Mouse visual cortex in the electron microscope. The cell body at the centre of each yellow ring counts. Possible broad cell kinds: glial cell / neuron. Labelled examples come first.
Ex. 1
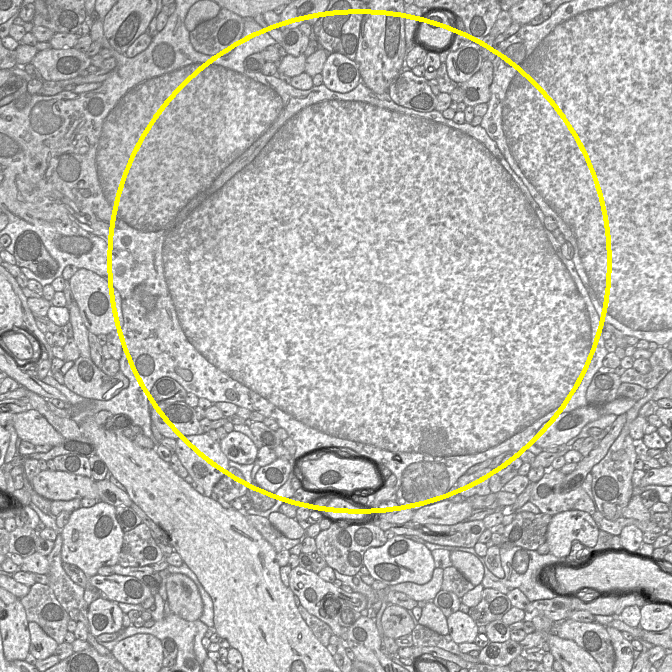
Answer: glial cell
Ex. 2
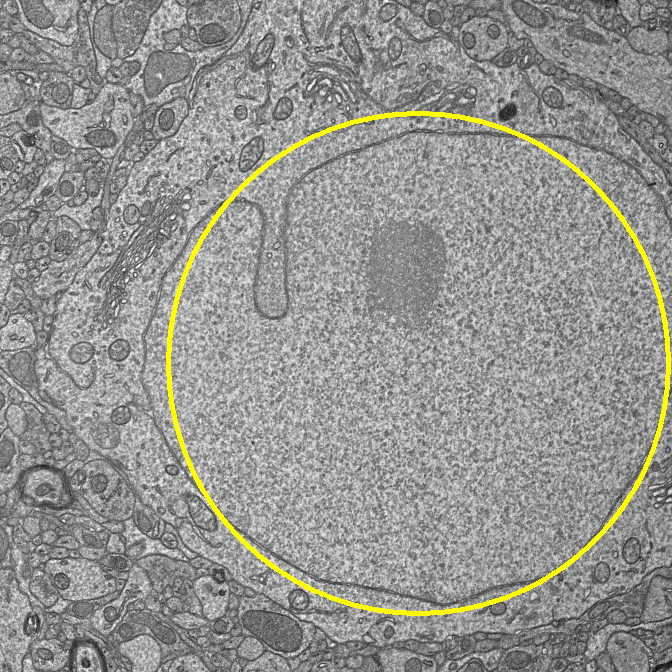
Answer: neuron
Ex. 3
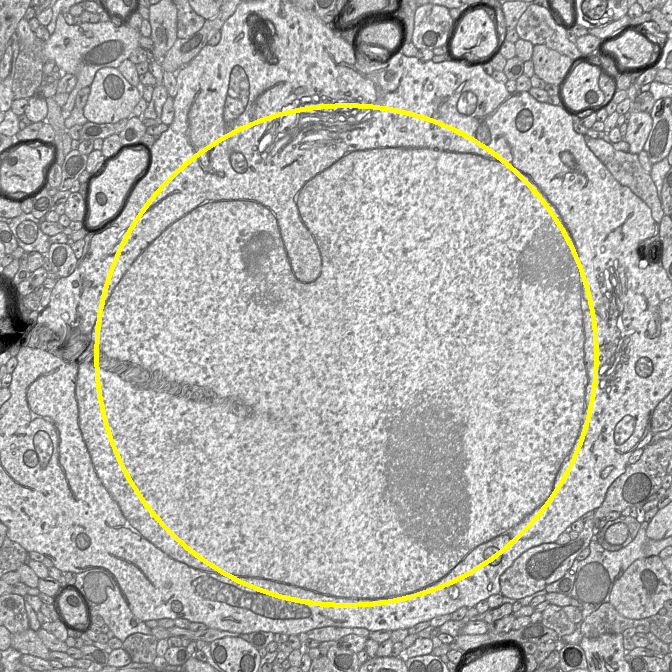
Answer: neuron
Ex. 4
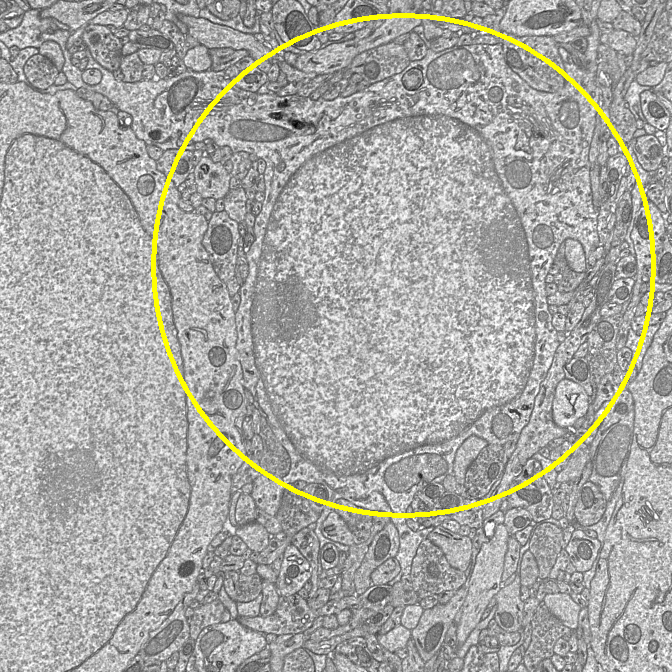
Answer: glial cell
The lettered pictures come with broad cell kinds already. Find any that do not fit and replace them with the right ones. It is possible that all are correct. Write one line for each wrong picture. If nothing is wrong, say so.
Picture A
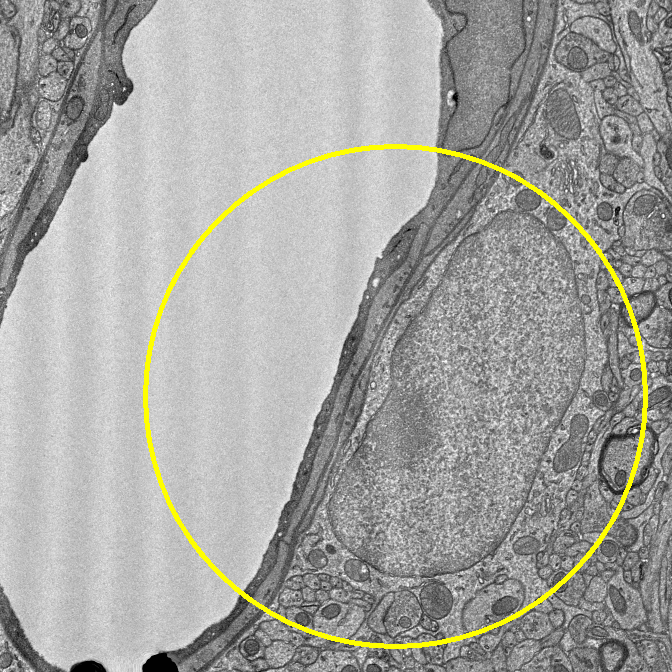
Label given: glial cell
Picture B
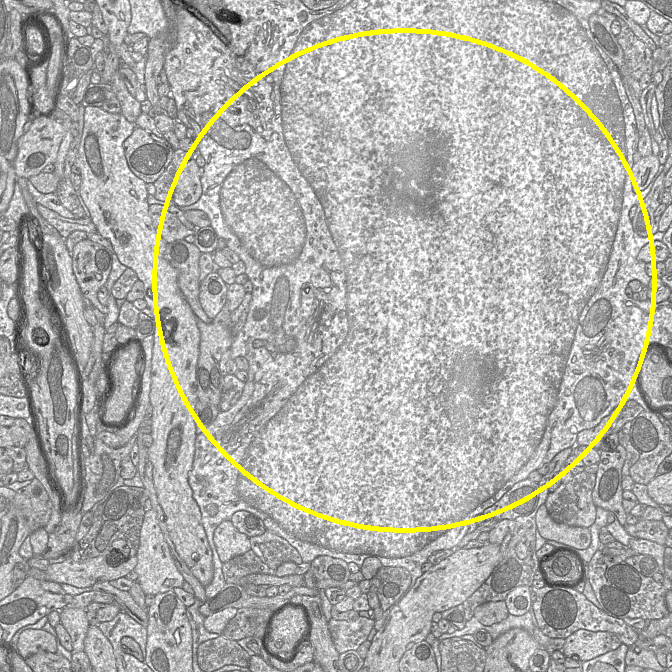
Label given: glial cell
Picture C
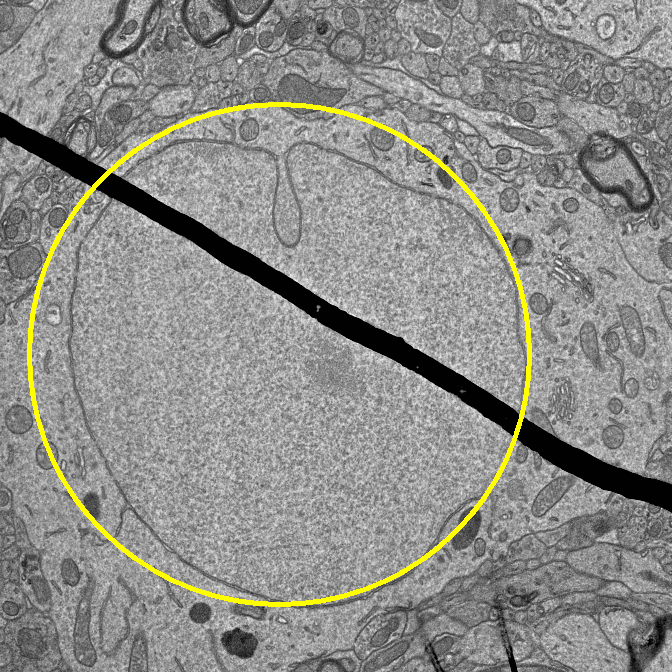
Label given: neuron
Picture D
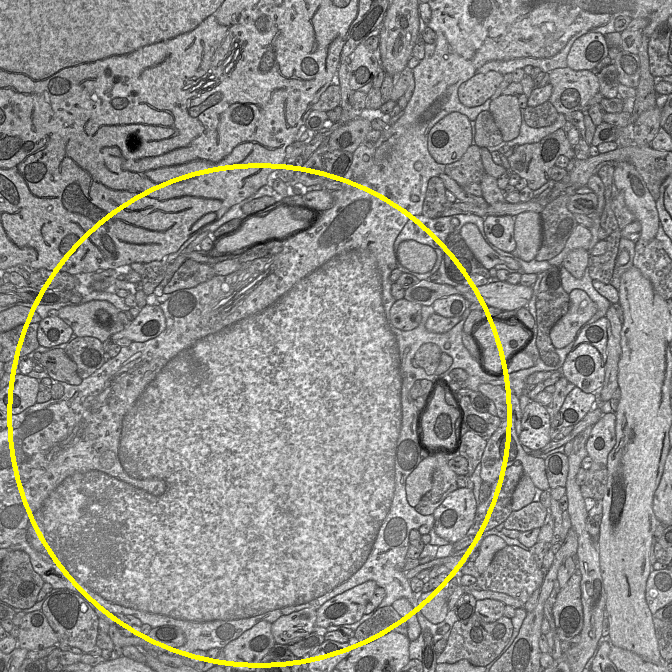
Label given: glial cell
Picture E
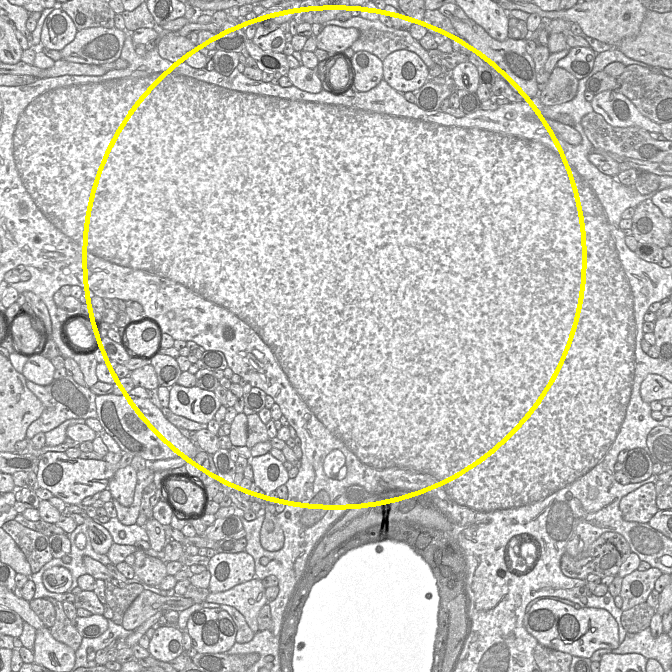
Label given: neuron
E: not neuron but glial cell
